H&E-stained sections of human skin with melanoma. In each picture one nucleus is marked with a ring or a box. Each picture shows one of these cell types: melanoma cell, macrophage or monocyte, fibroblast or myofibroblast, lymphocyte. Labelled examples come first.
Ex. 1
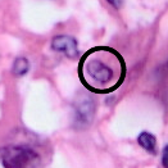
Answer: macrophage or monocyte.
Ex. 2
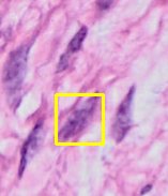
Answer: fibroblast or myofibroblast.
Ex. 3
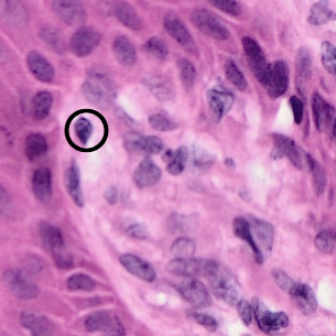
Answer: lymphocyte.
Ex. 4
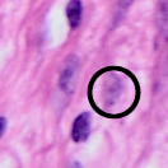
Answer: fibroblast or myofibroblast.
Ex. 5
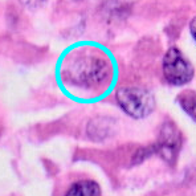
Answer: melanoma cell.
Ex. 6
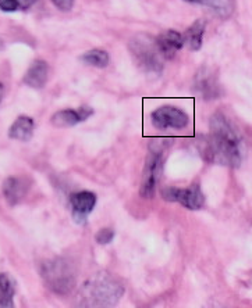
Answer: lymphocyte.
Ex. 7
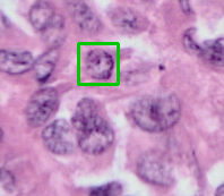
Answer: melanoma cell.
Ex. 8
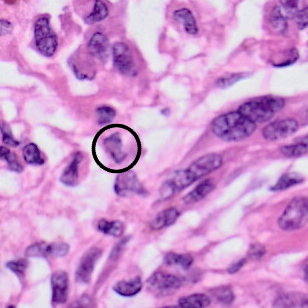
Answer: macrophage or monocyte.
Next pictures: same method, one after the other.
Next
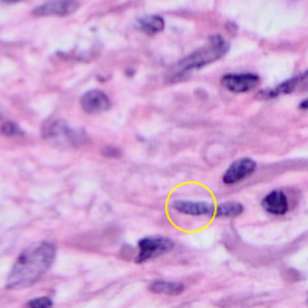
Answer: fibroblast or myofibroblast.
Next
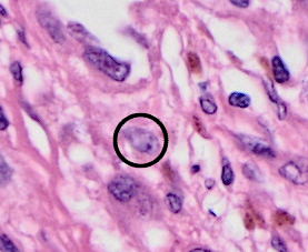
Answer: macrophage or monocyte.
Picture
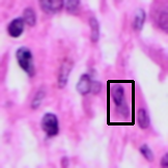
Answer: macrophage or monocyte.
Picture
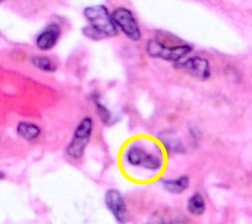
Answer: macrophage or monocyte.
